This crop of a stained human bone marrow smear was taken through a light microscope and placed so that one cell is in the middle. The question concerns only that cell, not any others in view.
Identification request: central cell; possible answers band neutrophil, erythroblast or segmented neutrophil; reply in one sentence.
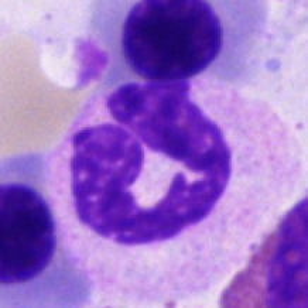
For this crop, the cell in the middle is a segmented neutrophil.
